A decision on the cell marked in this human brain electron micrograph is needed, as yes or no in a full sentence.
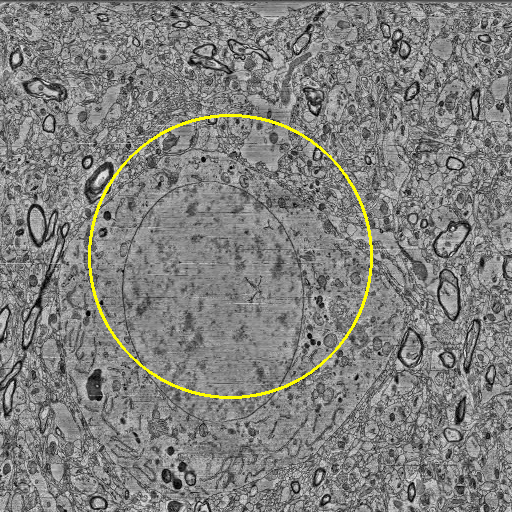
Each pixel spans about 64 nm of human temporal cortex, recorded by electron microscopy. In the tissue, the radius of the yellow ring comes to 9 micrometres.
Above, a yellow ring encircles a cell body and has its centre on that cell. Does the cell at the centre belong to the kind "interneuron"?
No, a different kind fits the cell at the centre of the ring in the picture.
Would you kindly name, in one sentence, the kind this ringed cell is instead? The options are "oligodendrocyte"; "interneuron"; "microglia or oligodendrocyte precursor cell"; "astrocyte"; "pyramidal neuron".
Instead, the ring surrounds a pyramidal neuron in this picture.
